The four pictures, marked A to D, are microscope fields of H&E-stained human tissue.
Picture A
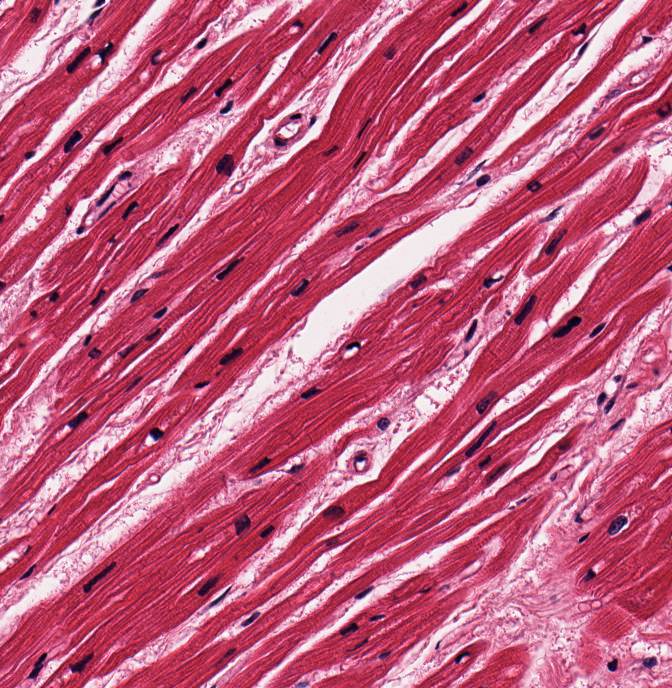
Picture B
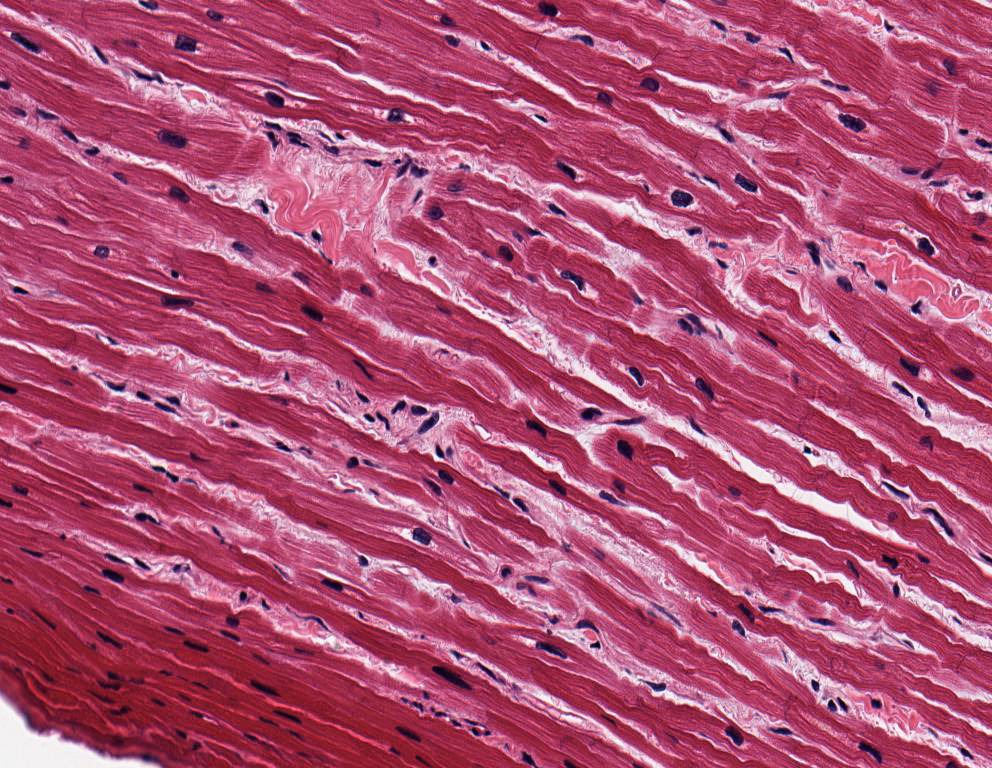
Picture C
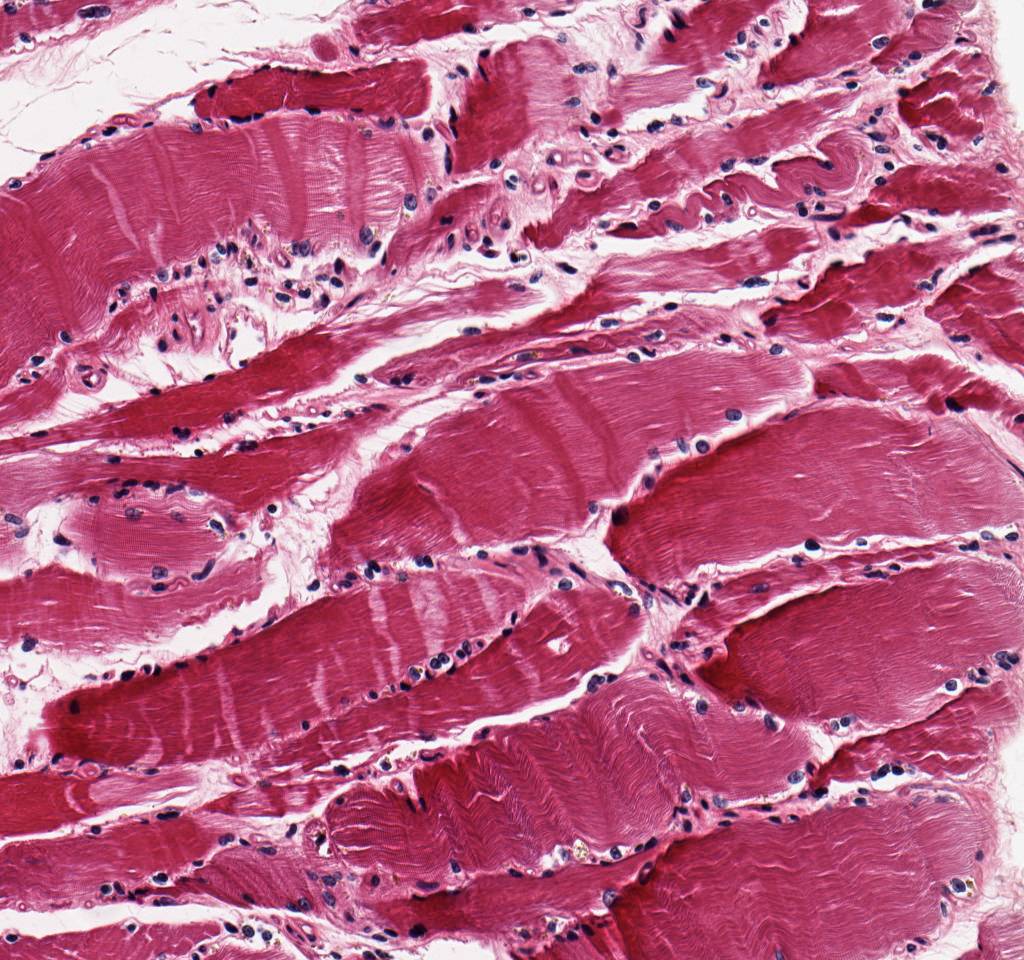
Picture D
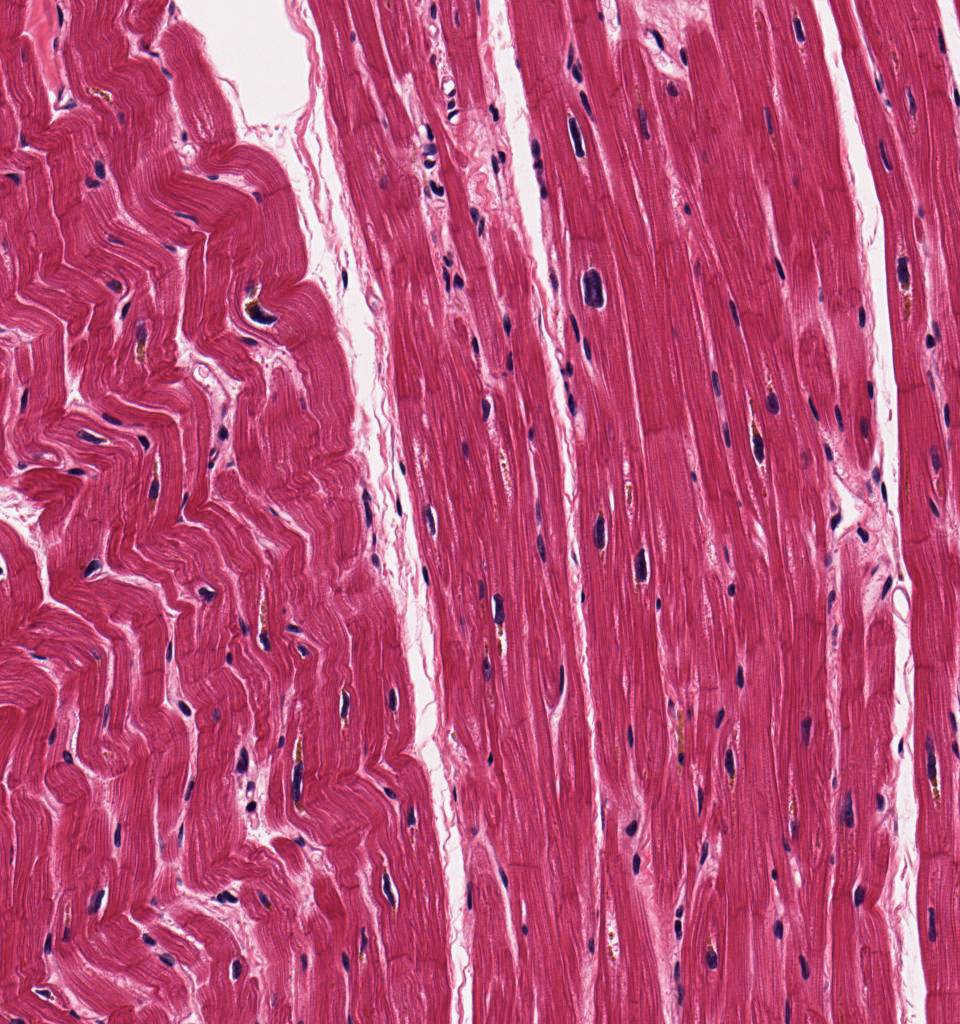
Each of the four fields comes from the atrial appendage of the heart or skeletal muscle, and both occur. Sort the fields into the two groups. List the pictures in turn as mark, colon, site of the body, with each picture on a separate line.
A: atrial appendage of the heart
B: atrial appendage of the heart
C: skeletal muscle
D: atrial appendage of the heart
